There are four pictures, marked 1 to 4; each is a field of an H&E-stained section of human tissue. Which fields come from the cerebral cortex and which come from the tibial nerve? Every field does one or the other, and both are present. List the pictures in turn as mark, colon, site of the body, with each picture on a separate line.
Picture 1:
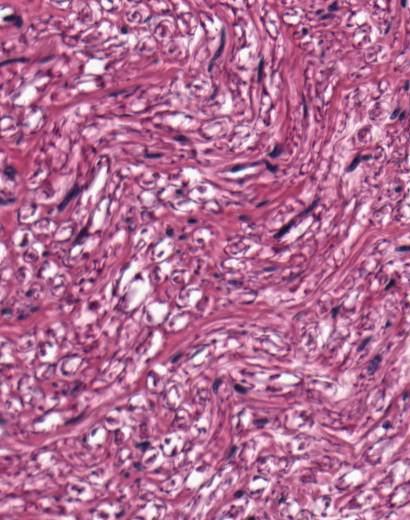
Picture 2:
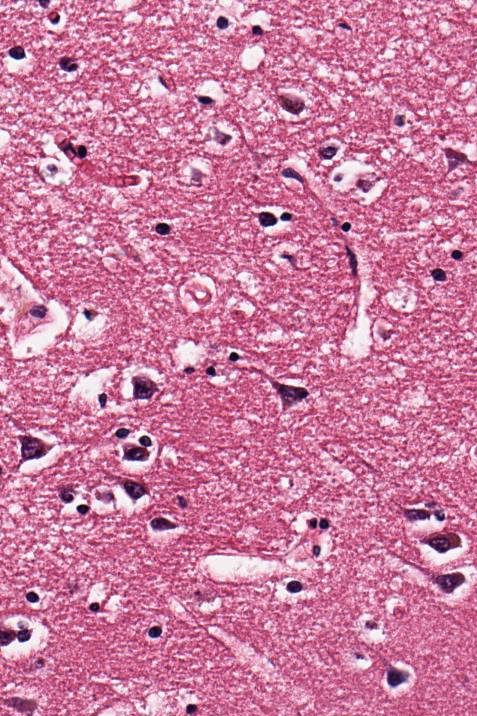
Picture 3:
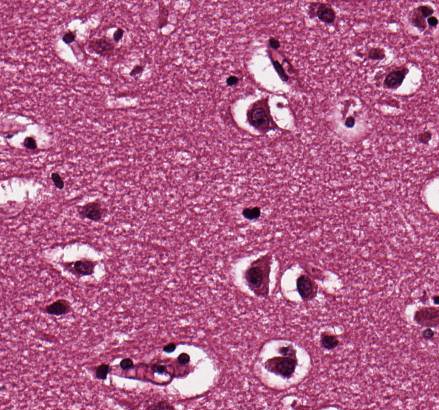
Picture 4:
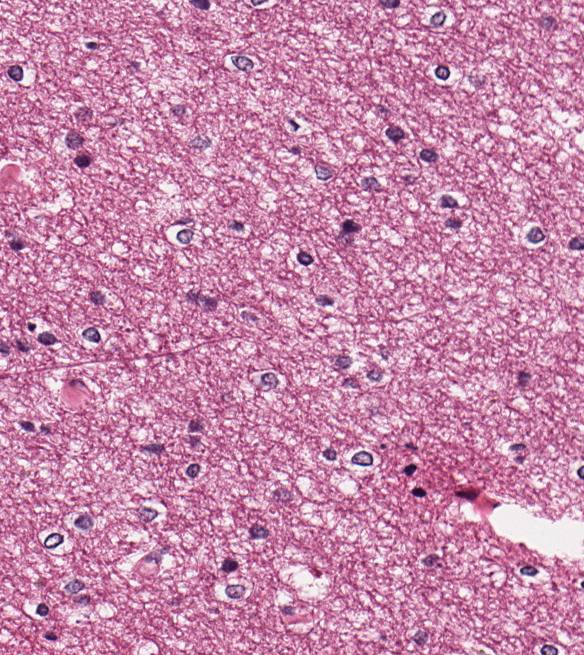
1: tibial nerve
2: cerebral cortex
3: cerebral cortex
4: cerebral cortex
